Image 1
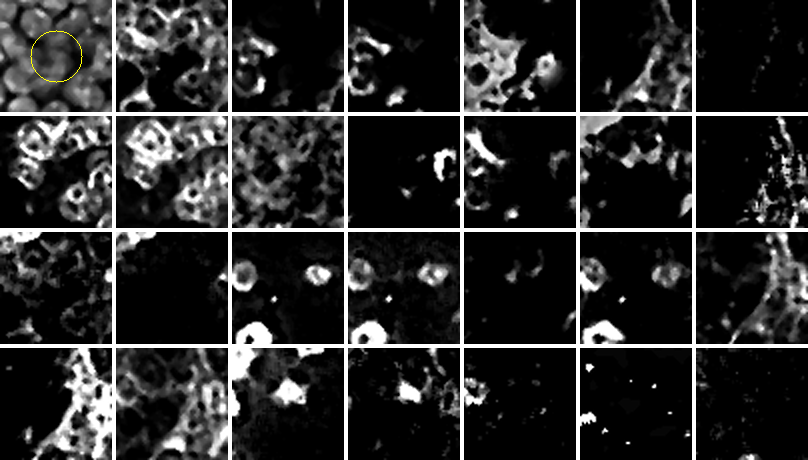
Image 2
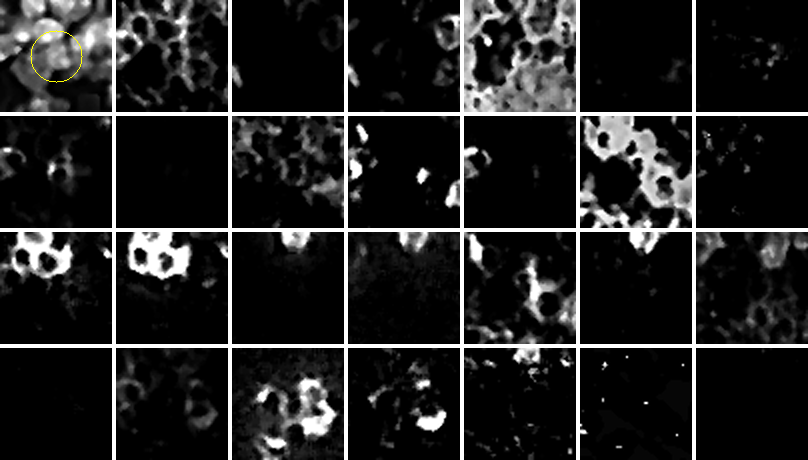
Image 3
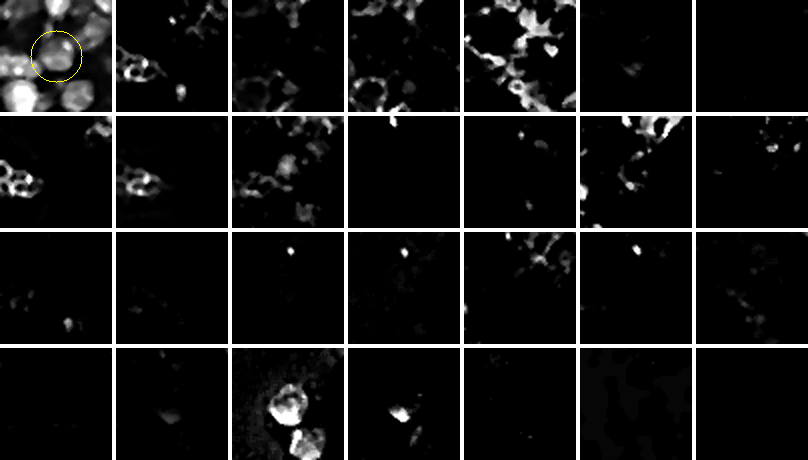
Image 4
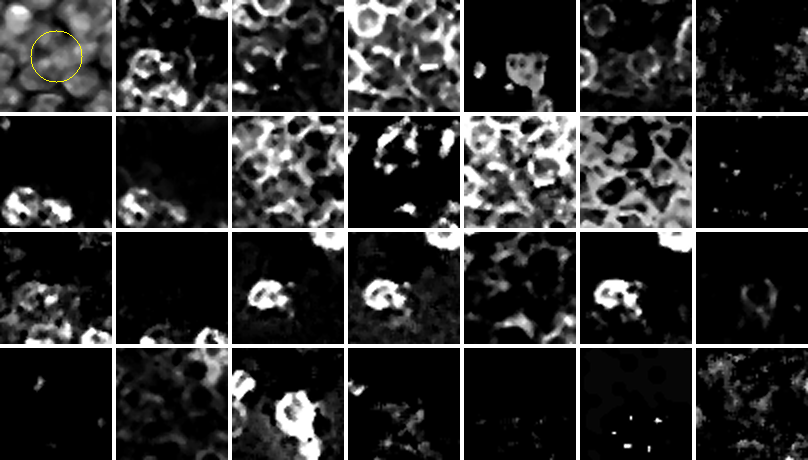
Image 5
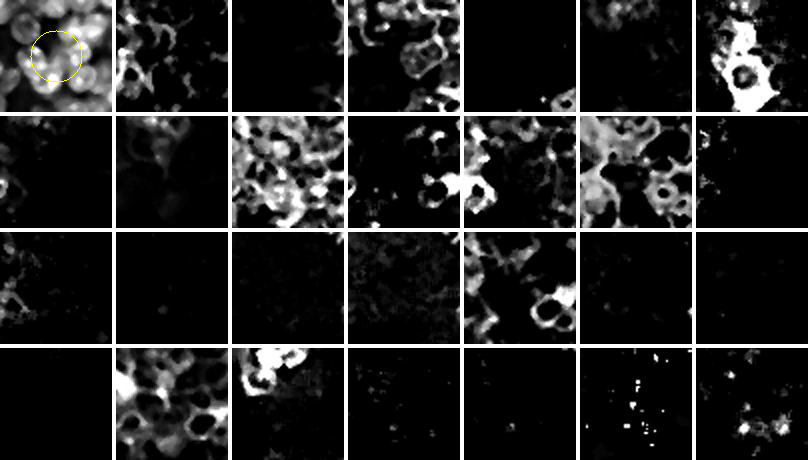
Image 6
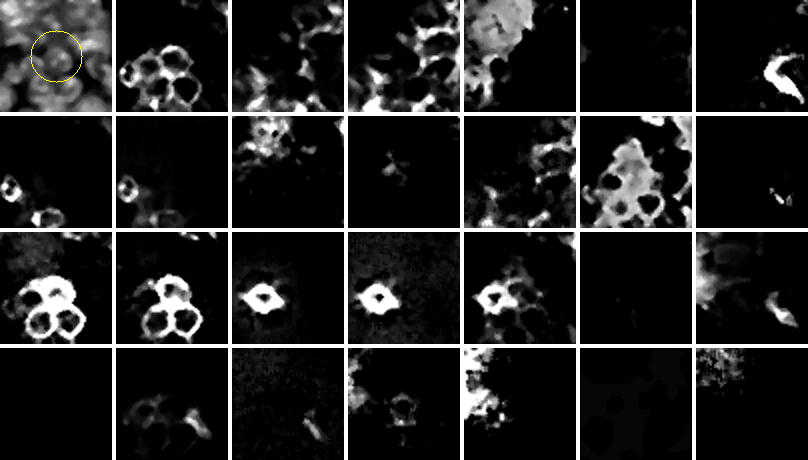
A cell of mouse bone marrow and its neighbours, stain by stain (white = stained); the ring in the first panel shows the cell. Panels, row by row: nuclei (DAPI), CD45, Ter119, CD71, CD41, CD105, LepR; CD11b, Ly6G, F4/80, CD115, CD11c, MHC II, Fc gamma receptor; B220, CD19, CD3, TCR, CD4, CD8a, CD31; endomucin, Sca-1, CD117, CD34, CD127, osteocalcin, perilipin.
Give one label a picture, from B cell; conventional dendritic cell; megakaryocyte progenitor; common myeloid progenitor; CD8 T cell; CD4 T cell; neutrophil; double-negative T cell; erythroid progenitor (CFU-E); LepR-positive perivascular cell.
(1) common myeloid progenitor
(2) megakaryocyte progenitor
(3) common myeloid progenitor
(4) erythroid progenitor (CFU-E)
(5) LepR-positive perivascular cell
(6) B cell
